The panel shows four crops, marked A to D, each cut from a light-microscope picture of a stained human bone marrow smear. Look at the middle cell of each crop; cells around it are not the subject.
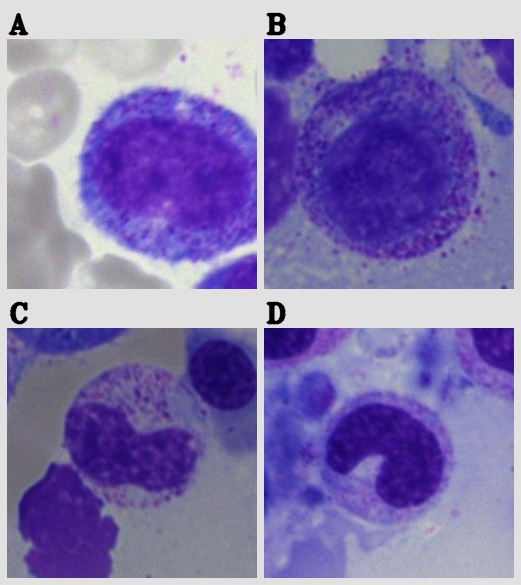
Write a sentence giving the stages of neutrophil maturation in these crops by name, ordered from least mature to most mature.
Least to most mature, the order stands as crop A (a promyelocyte), crop B (a myelocyte), crop C (a metamyelocyte) and crop D (a band neutrophil).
